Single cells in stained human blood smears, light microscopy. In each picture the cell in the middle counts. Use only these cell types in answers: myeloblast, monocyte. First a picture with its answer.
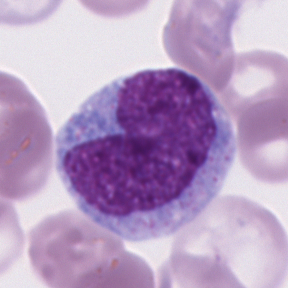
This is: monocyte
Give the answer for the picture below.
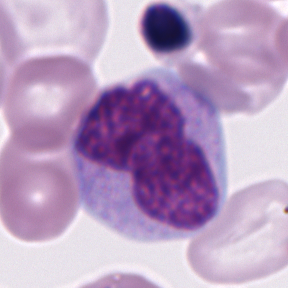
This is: monocyte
